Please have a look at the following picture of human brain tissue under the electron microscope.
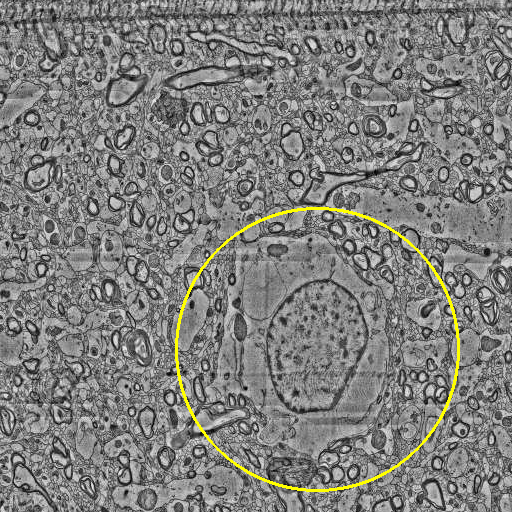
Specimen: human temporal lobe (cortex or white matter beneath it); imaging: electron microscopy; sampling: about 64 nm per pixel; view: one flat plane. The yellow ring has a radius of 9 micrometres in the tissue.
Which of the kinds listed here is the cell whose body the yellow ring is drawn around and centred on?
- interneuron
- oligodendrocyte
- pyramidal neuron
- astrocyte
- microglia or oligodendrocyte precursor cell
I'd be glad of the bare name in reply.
astrocyte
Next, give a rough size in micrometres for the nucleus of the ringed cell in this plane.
About 9 by 6 micrometers for the nucleus, in this plane.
